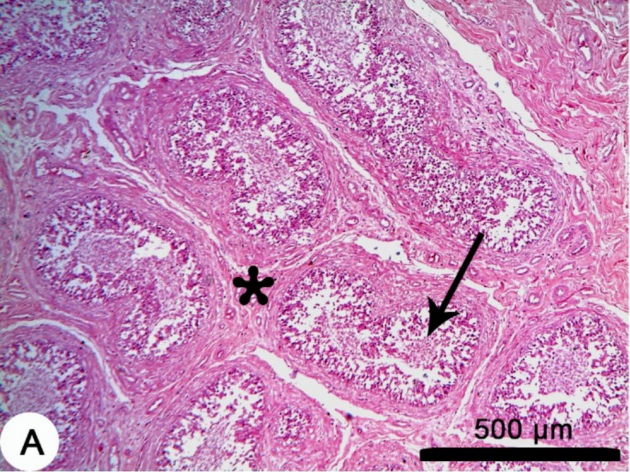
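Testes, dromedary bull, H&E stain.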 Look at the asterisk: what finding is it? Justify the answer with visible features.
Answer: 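Broad bands of pink fibrous tissue fill the spaces between the tubules.
Conclusion: interstitial fibrosis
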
